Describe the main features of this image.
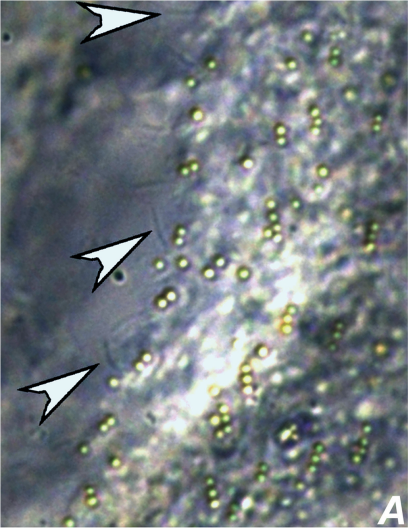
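Numerous small, round, yellowish-green cortical granules are spread over the surface, singly or in little groups. Near the left margin, faint short thin lines are the dorsal bristles.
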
